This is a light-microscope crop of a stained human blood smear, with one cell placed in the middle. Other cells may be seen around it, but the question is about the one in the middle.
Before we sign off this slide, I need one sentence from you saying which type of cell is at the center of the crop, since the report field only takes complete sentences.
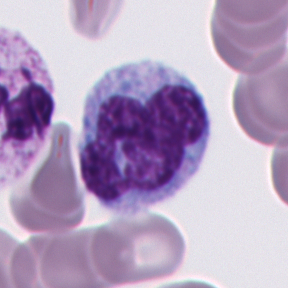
The middle cell in this particular crop is a monocyte.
